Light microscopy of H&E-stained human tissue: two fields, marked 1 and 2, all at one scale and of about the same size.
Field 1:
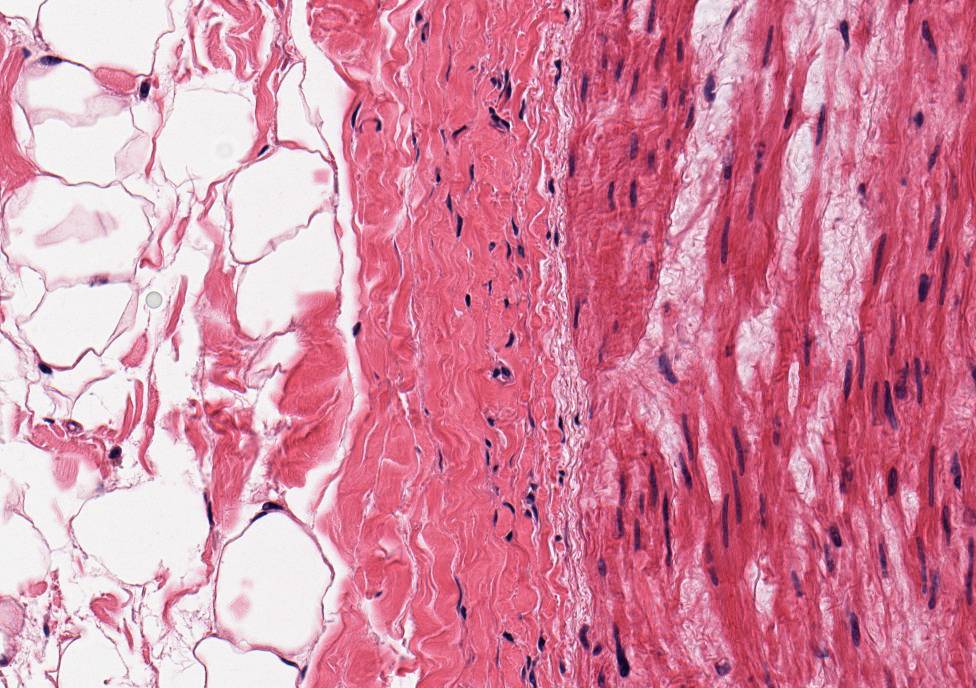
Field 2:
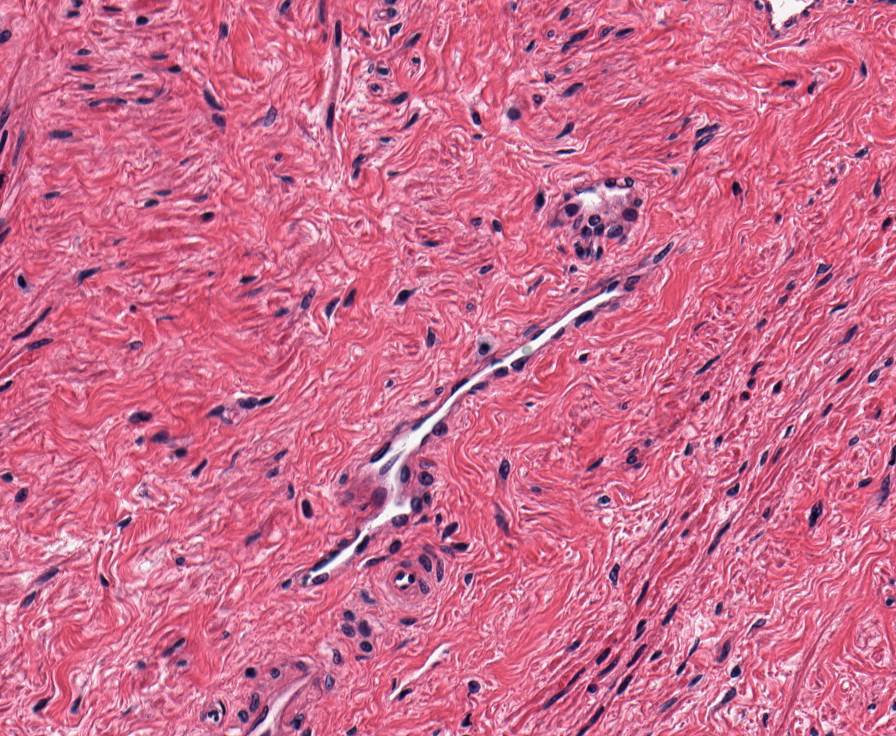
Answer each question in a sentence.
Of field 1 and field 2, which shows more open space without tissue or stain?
Unstained space takes up more of field 1 than of field 2.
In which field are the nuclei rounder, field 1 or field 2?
Rounder nuclei lie in field 2.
